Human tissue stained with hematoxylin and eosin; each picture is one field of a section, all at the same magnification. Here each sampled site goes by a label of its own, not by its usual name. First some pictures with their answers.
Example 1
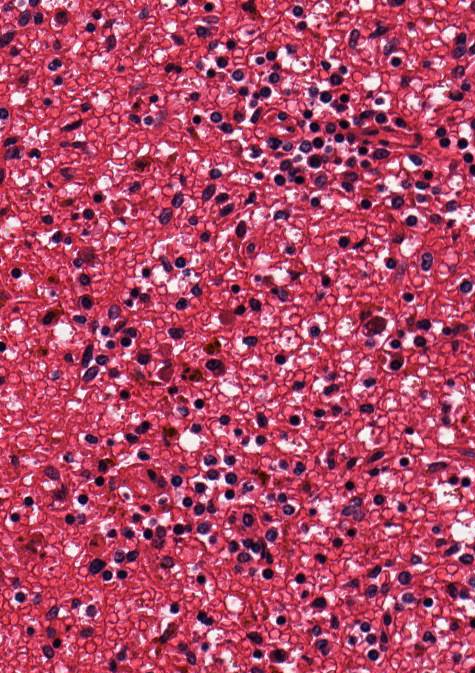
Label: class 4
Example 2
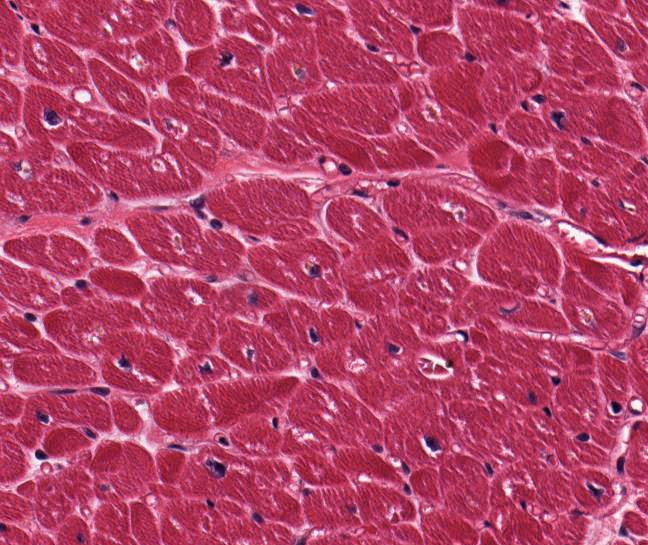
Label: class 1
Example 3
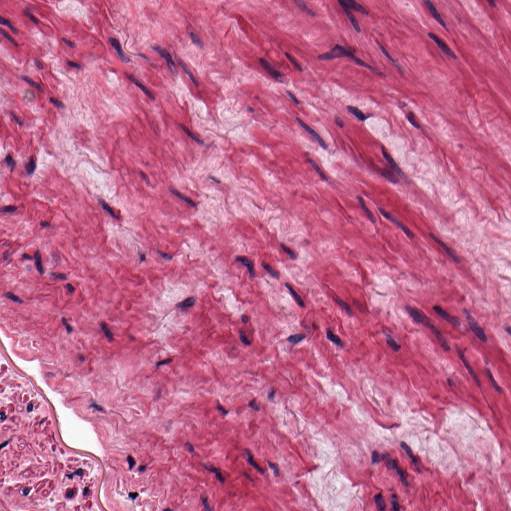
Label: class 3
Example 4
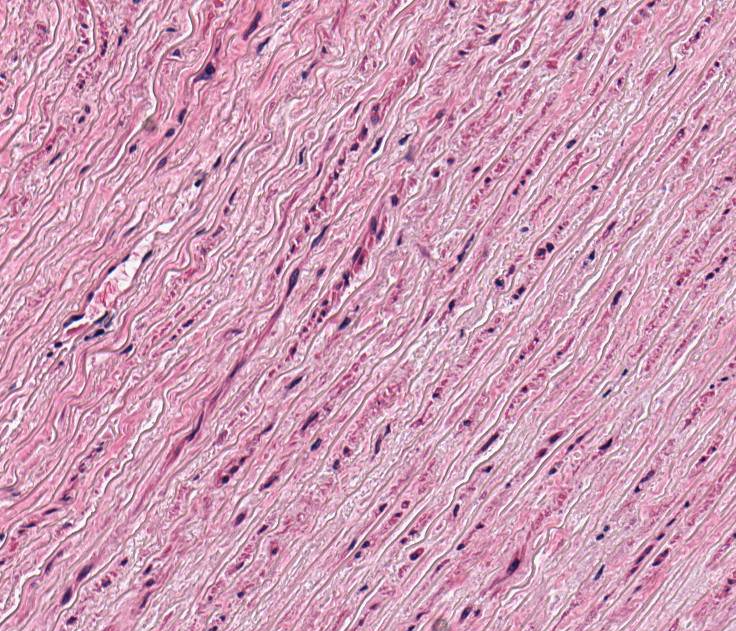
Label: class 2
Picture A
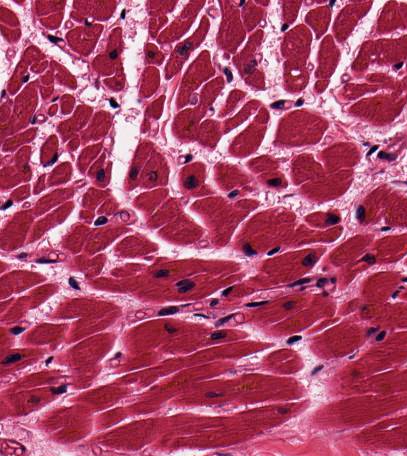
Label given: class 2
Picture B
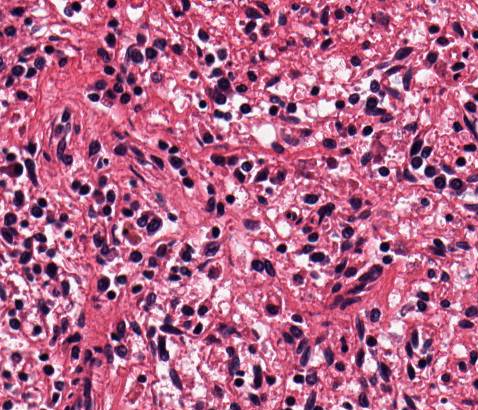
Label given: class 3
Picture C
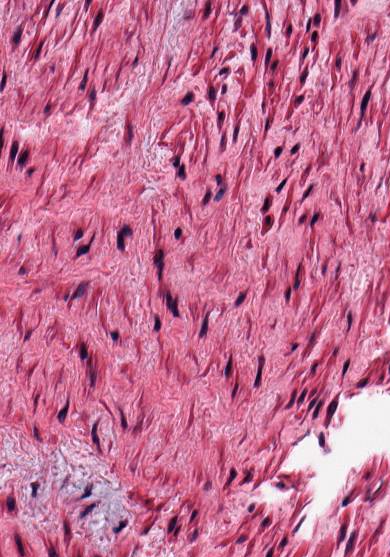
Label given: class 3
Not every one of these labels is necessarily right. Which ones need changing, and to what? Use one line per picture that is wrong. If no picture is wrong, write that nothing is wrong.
A should be class 1, not class 2
B should be class 4, not class 3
